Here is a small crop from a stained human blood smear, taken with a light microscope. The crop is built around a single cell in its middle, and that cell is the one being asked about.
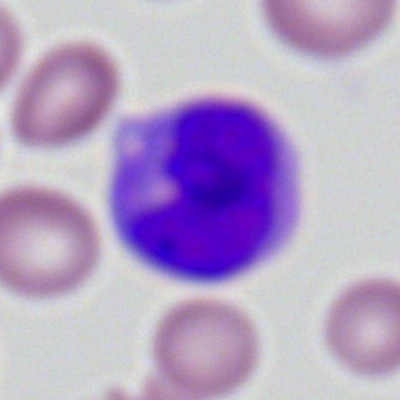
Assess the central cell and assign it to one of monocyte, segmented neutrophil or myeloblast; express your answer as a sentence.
Classification of the middle cell gives a monocyte.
